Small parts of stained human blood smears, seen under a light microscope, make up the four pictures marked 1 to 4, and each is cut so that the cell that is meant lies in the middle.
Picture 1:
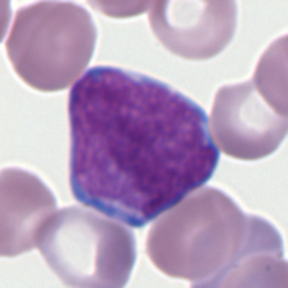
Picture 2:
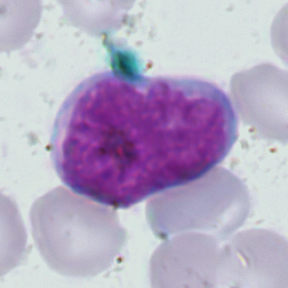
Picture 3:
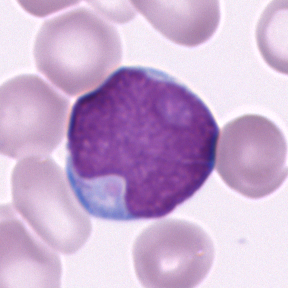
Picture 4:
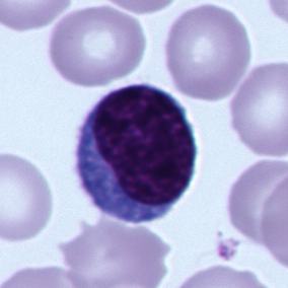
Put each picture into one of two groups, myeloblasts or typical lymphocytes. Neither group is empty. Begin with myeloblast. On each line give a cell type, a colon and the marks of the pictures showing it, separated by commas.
myeloblast: 1, 2, 3
typical lymphocyte: 4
